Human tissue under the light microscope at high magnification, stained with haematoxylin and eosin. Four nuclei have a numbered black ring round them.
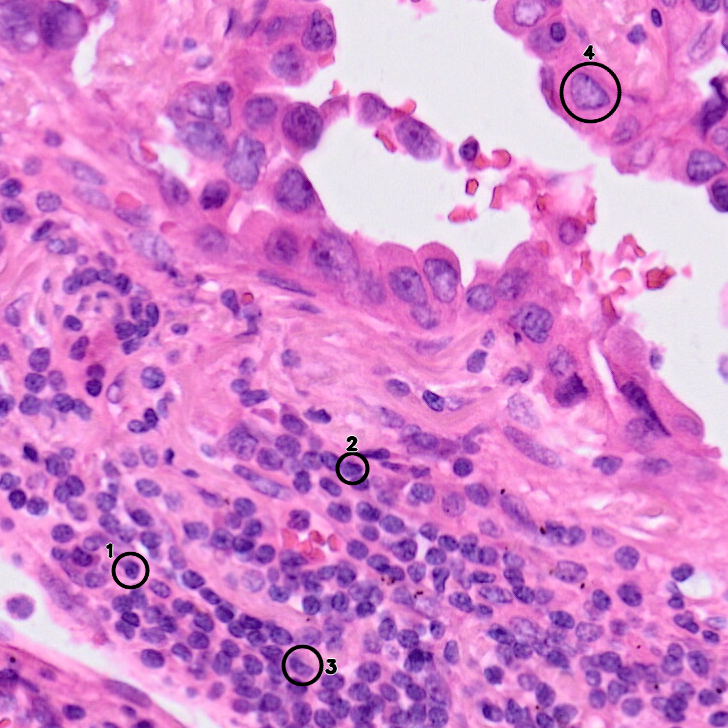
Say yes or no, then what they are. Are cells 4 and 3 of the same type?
No, cell 4 is a carcinoma cell and cell 3 is a lymphocyte.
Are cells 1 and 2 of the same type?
Yes, both are lymphocytes.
